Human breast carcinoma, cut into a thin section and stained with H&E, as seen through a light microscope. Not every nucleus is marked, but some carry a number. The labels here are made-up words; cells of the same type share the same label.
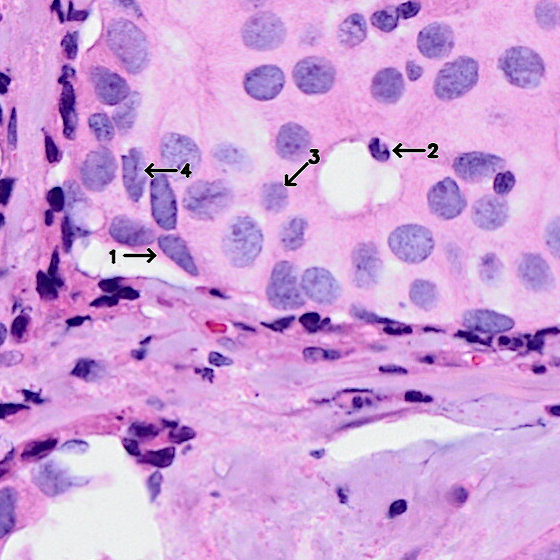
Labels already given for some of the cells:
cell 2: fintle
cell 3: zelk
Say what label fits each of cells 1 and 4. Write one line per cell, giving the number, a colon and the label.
1: zelk
4: zelk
